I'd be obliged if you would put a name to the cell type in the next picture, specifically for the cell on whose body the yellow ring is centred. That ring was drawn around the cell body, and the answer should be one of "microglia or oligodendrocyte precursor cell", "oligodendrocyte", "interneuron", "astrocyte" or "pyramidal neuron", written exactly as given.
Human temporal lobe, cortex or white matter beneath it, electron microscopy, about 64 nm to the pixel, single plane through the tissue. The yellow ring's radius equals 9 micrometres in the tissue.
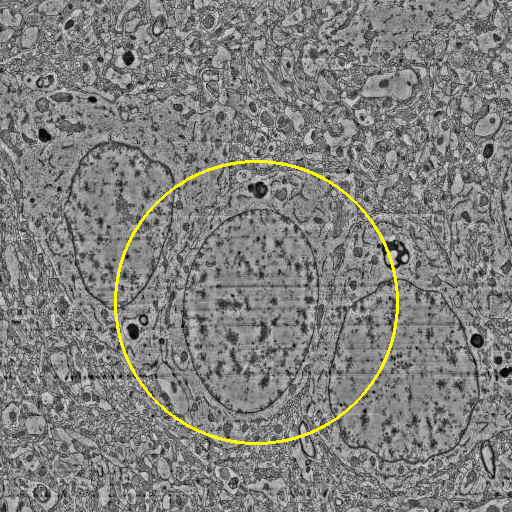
pyramidal neuron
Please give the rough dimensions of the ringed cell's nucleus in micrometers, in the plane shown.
In this plane, the nucleus of the cell at the centre of the ring measures about 13 by 9 micrometres.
